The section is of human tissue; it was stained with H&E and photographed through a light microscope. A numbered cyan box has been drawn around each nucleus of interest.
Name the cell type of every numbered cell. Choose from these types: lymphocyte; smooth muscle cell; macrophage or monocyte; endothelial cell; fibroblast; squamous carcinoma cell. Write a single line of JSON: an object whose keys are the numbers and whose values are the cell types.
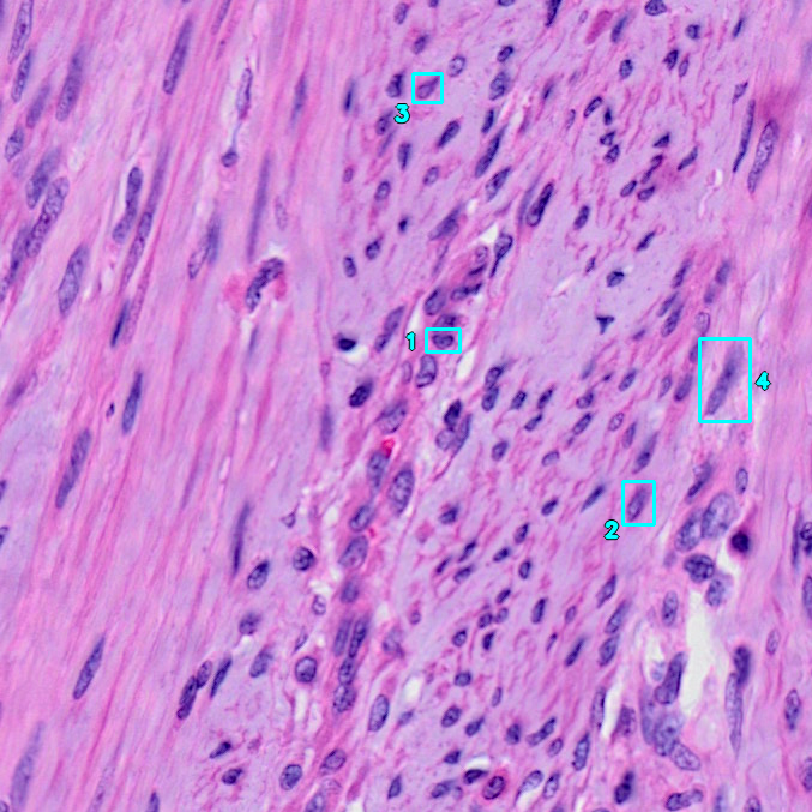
{"1": "endothelial cell", "2": "smooth muscle cell", "3": "smooth muscle cell", "4": "fibroblast"}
